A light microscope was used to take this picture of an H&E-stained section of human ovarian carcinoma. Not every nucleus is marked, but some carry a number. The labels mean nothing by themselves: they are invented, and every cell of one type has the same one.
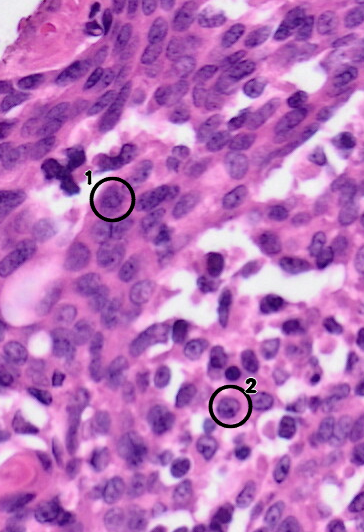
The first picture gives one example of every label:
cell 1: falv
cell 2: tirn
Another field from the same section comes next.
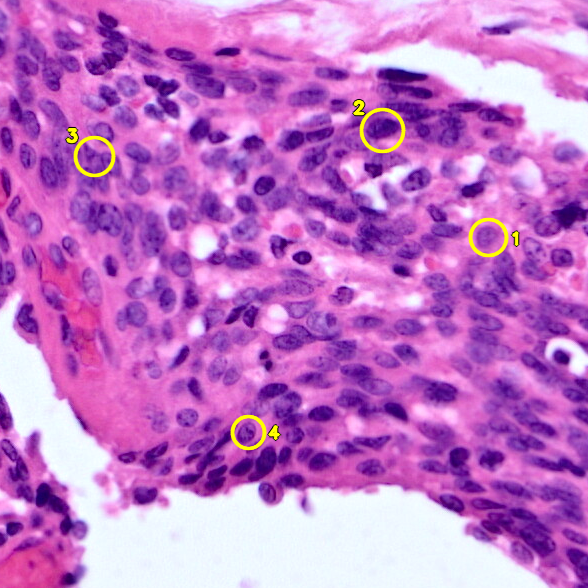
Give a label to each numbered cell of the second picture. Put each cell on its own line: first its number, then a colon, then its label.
1: falv
2: falv
3: falv
4: tirn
